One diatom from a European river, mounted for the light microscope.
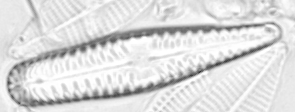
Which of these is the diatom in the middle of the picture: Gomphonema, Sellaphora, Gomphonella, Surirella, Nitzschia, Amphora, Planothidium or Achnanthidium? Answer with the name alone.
Gomphonella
